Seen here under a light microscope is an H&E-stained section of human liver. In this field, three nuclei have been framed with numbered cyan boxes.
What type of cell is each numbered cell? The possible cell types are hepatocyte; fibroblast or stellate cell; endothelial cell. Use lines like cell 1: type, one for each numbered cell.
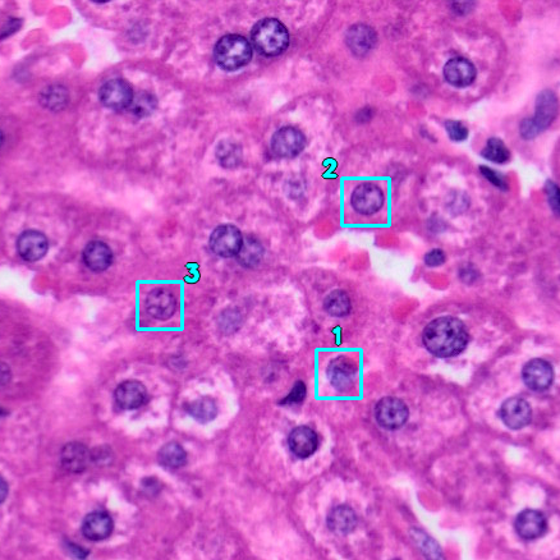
cell 1: endothelial cell
cell 2: hepatocyte
cell 3: hepatocyte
